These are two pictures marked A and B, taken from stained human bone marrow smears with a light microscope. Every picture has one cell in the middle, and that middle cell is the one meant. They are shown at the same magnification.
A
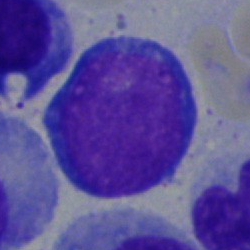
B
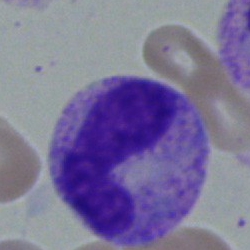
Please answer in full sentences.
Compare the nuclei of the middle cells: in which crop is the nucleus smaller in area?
Smaller is the nucleus in picture B, and the other is about 1.5 times as large in area.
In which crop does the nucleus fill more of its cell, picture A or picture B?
It is the cell in picture A that is filled more by its nucleus.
